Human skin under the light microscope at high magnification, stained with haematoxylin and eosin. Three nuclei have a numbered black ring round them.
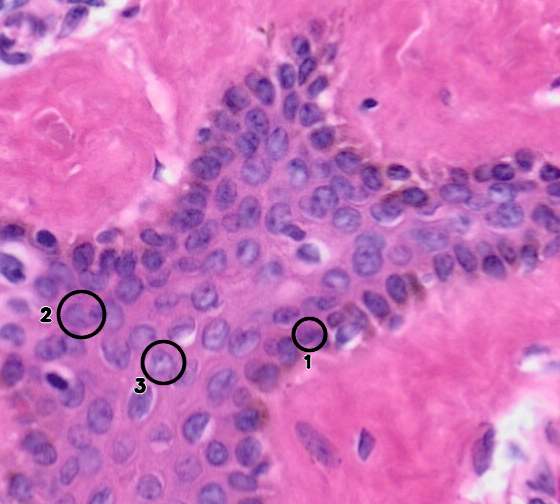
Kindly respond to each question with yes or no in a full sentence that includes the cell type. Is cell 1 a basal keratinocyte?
Yes, the marked cell with number 1 is a basal keratinocyte.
